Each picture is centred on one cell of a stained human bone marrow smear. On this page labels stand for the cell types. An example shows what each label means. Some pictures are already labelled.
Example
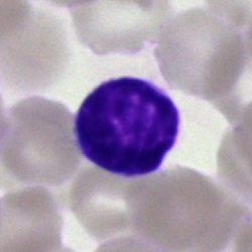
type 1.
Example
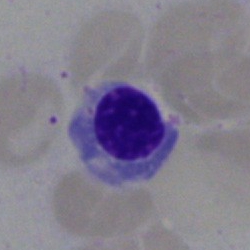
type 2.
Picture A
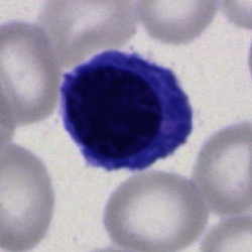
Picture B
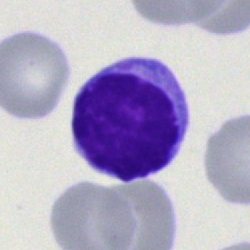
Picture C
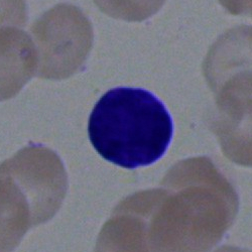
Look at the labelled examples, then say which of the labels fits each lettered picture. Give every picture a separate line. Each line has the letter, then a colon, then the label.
A: type 2.
B: type 1.
C: type 1.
